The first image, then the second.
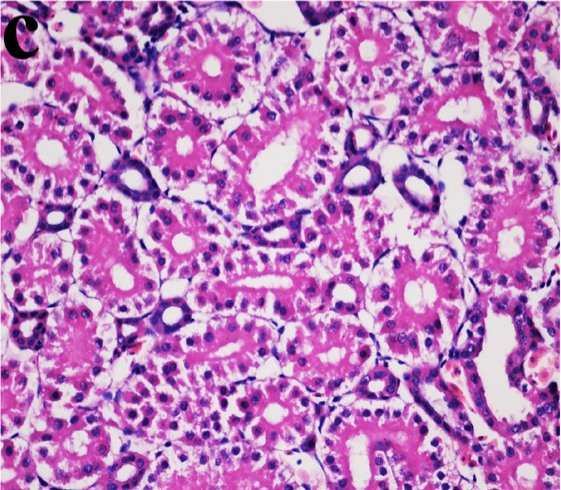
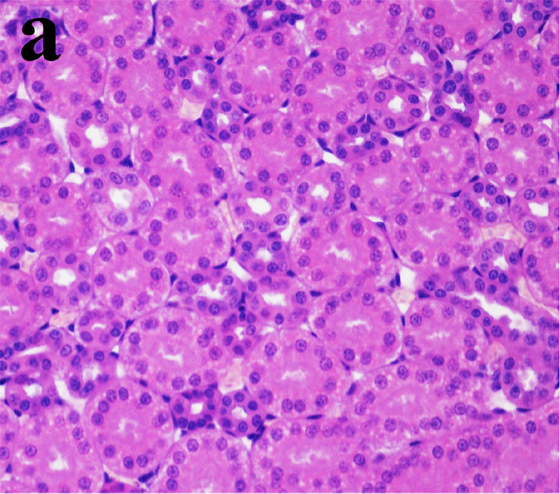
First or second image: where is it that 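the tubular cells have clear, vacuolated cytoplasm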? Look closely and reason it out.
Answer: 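The first image. Second image: tubule lining cells have even, solid pink cytoplasm without clear spaces.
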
